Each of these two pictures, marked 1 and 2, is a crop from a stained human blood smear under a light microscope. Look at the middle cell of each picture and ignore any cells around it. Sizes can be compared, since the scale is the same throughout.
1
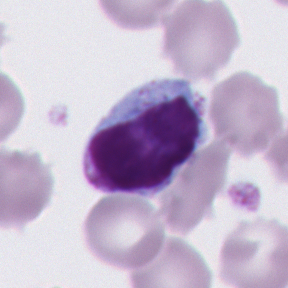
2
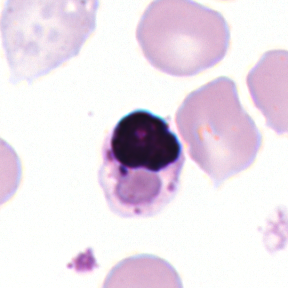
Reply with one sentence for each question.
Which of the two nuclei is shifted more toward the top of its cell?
In crop 2 the nucleus is shifted more toward the top.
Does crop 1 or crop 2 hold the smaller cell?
It is the cell in crop 2; the cell in crop 1 has about 2 times its area.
